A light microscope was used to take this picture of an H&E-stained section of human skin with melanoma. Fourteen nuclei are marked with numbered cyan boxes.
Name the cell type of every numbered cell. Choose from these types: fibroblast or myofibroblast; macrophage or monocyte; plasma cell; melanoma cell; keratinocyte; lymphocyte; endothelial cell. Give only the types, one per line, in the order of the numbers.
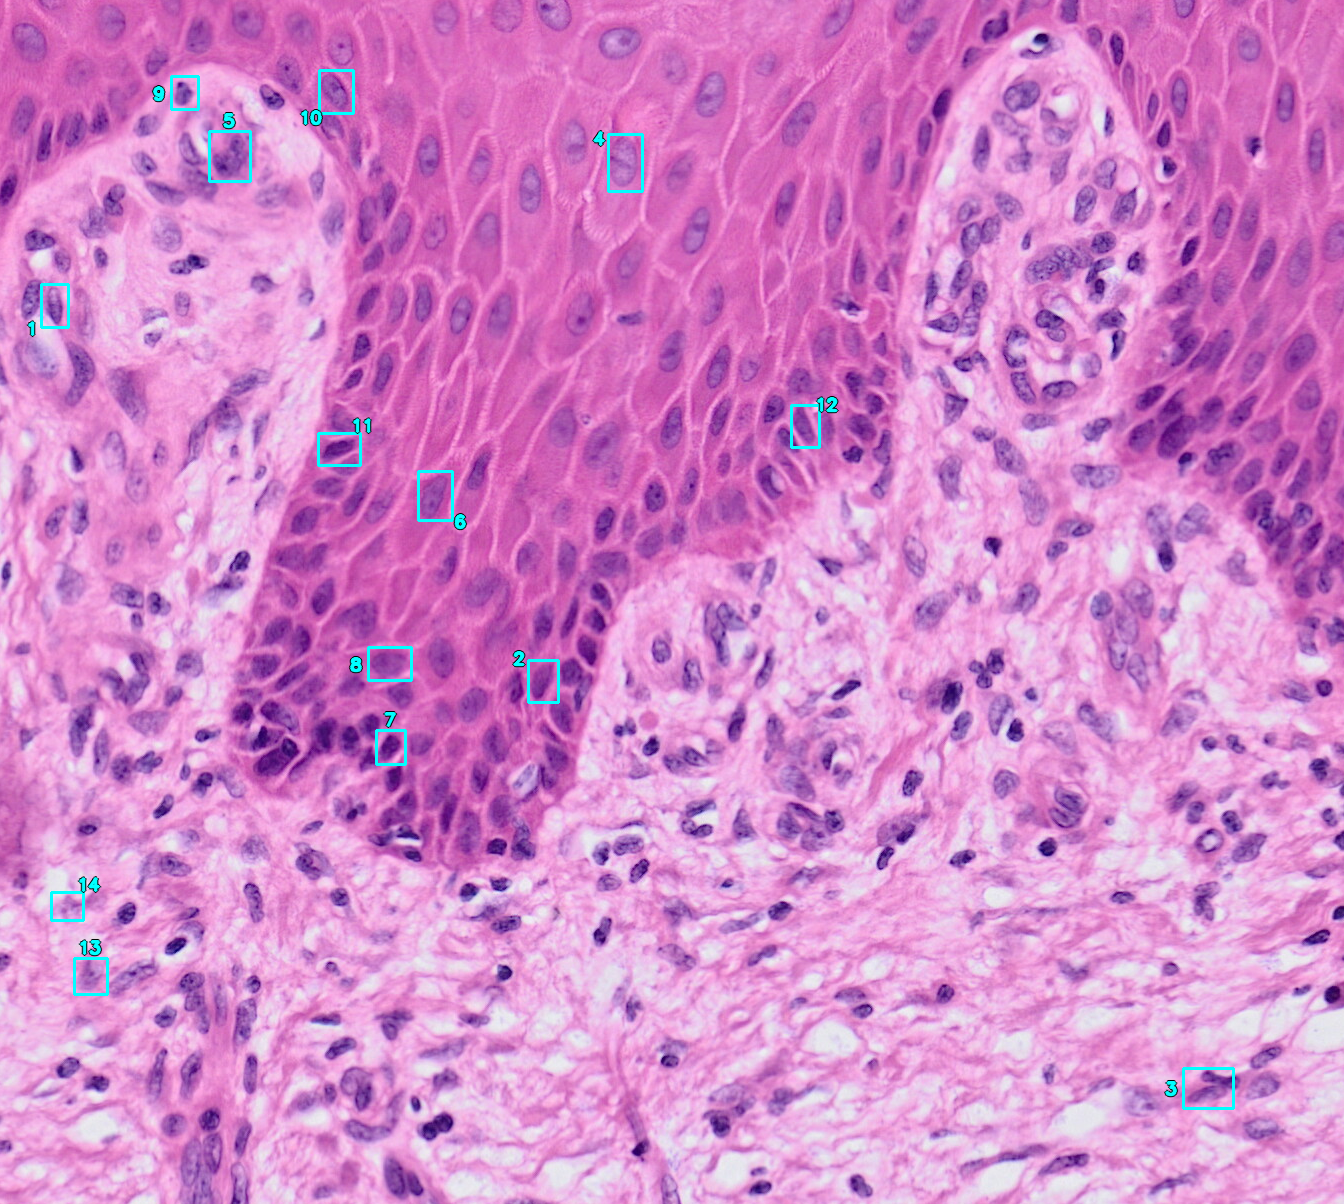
endothelial cell
keratinocyte
macrophage or monocyte
keratinocyte
endothelial cell
keratinocyte
keratinocyte
keratinocyte
lymphocyte
keratinocyte
keratinocyte
keratinocyte
fibroblast or myofibroblast
fibroblast or myofibroblast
